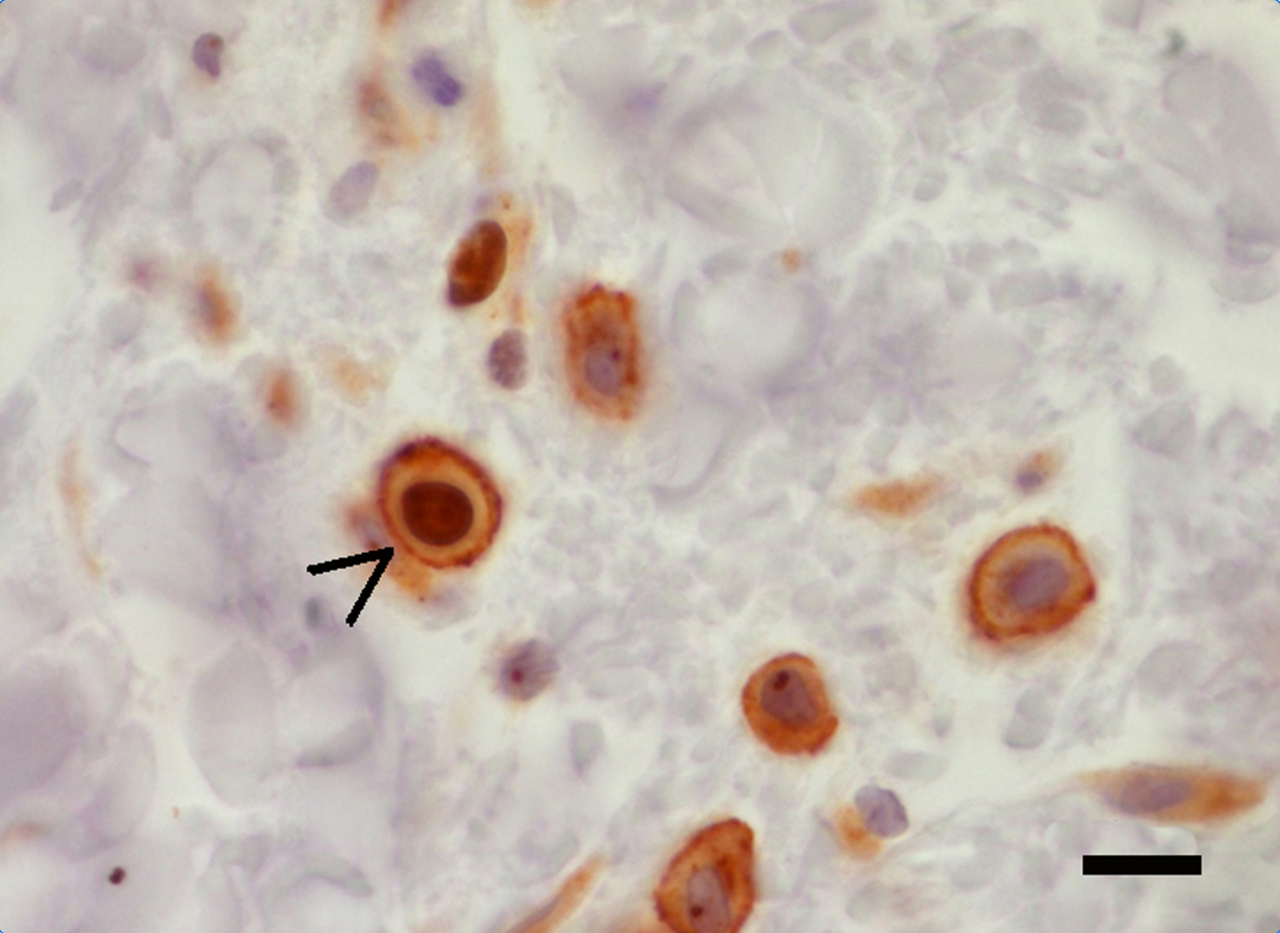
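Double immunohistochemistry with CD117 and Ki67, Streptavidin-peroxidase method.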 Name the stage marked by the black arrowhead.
proliferating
